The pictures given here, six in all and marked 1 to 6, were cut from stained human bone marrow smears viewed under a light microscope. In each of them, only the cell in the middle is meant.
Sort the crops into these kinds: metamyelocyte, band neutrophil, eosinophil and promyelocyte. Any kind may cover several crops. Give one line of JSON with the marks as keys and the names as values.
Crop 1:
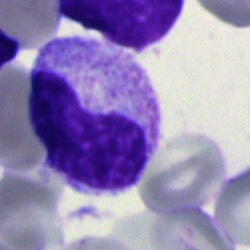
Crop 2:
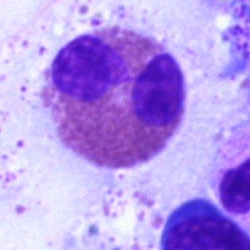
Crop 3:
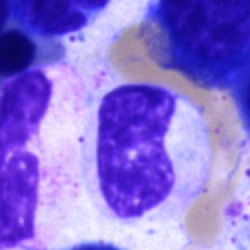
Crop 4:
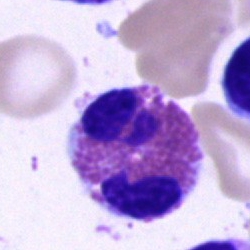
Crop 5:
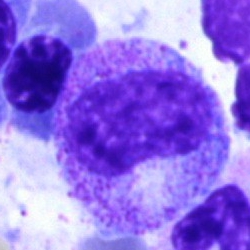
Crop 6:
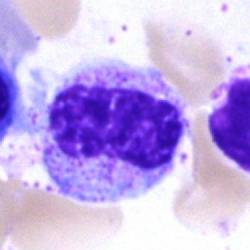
{"1": "metamyelocyte", "2": "eosinophil", "3": "band neutrophil", "4": "eosinophil", "5": "metamyelocyte", "6": "band neutrophil"}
